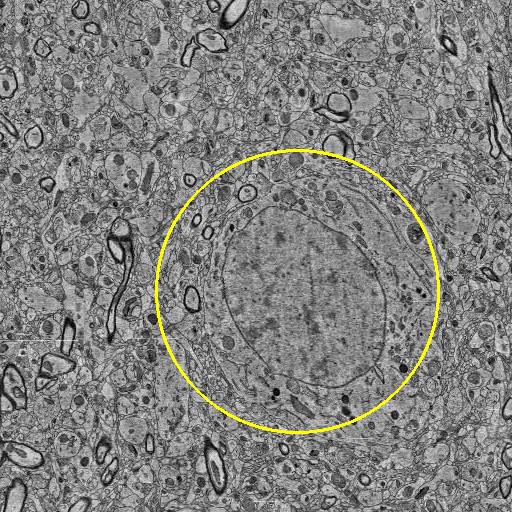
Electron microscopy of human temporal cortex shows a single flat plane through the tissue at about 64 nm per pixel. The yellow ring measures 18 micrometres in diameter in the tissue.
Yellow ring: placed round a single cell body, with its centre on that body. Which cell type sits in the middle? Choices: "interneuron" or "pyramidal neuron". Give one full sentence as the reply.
It is a pyramidal neuron whose cell body sits at the centre of the yellow ring.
